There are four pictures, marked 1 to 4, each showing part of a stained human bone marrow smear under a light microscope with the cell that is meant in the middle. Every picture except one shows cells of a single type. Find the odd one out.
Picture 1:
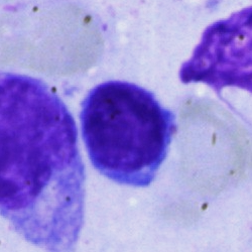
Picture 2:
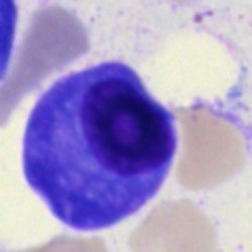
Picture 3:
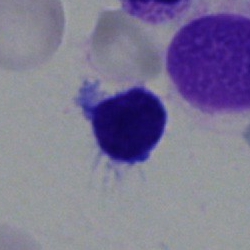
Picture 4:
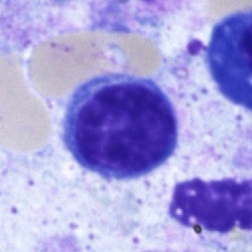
2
